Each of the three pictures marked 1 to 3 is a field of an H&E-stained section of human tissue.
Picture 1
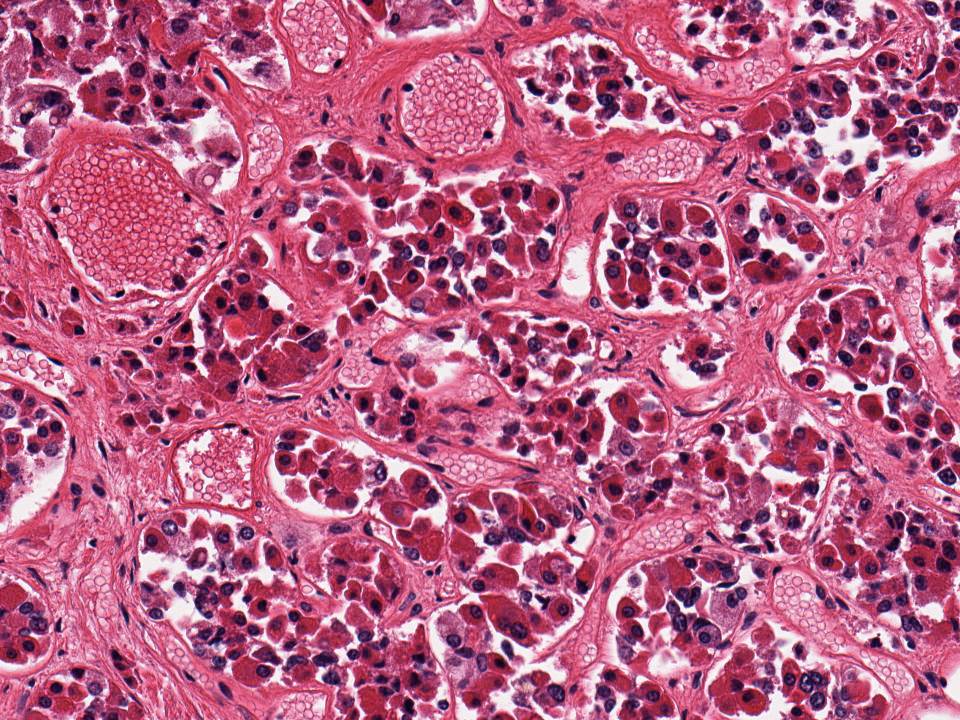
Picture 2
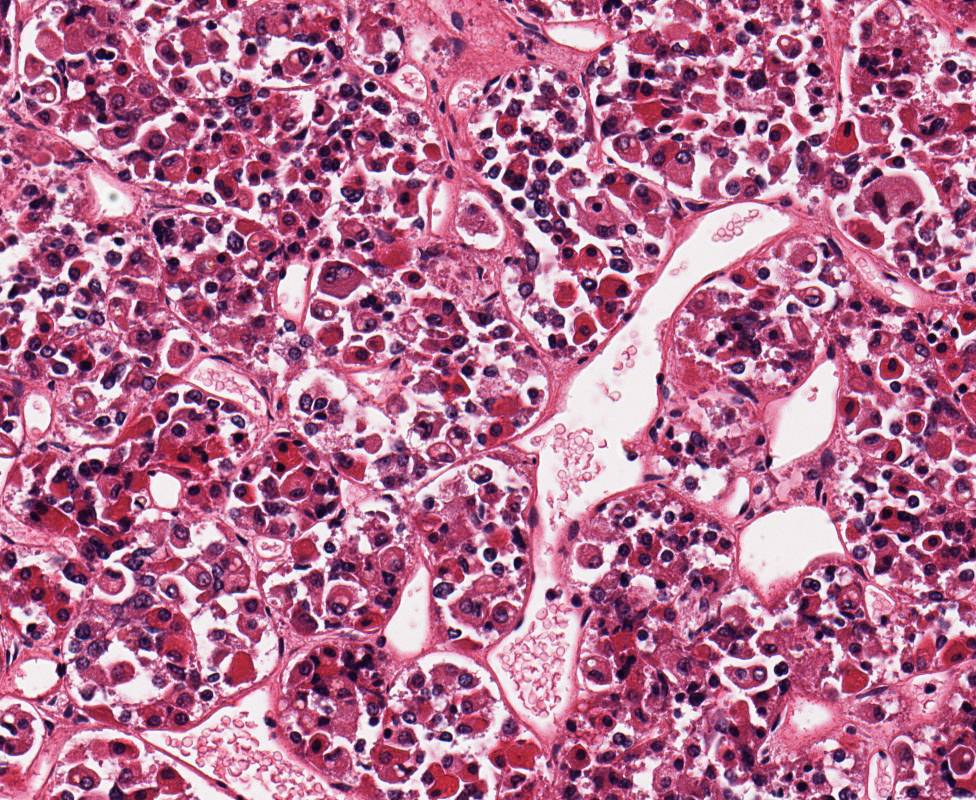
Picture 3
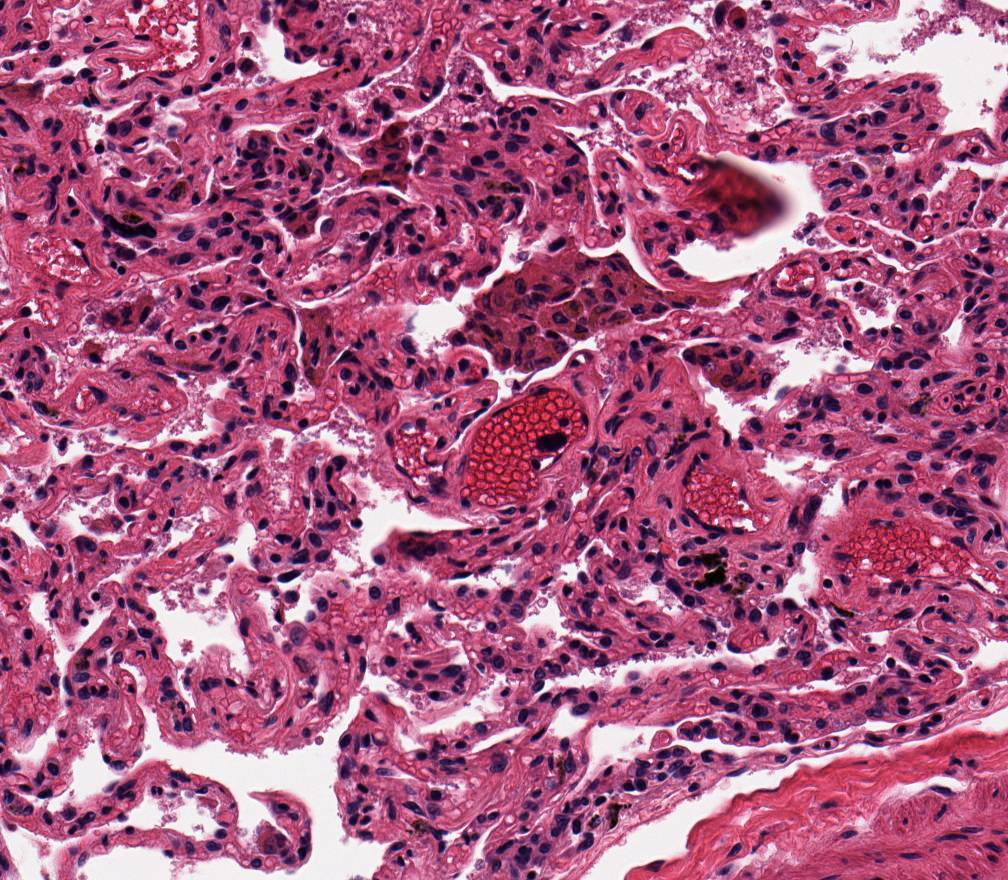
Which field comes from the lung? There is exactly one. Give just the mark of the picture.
3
